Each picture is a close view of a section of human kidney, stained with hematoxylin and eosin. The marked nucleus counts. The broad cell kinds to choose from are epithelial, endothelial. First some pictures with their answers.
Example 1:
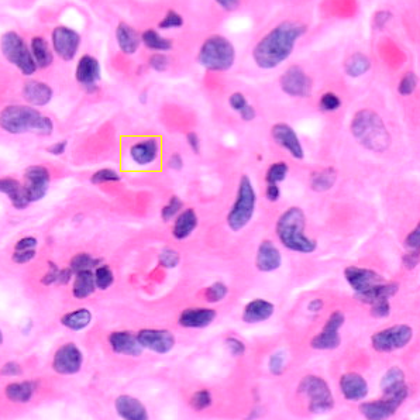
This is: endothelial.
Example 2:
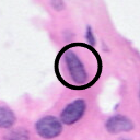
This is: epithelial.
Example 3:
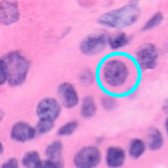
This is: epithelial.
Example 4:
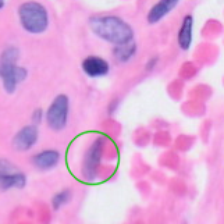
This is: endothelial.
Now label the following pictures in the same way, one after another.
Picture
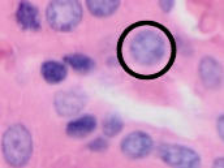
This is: epithelial.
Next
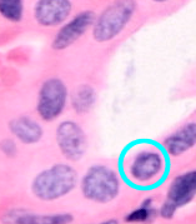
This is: epithelial.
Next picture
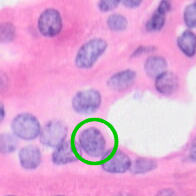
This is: epithelial.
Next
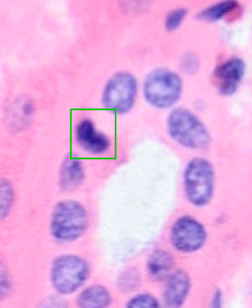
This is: epithelial.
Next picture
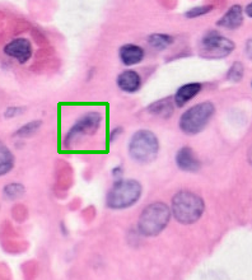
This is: endothelial.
